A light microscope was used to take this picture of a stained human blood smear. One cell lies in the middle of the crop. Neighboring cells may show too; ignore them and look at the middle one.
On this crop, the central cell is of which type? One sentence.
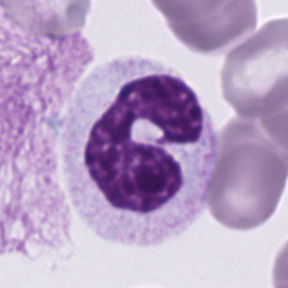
By type, the central cell of the crop is a band neutrophil.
